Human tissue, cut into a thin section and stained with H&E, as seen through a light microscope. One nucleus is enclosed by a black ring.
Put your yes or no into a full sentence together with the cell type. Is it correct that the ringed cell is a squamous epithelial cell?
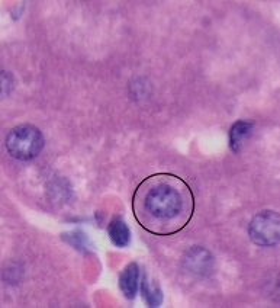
No, the ringed cell is identified as a hepatocyte and not as a squamous epithelial cell.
